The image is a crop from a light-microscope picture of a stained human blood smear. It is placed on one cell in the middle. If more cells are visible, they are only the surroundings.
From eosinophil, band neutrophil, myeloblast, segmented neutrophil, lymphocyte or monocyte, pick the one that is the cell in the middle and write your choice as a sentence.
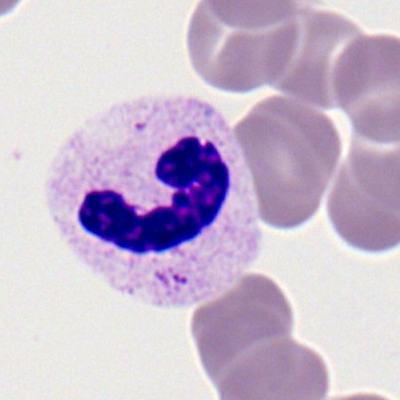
Answering briefly, the cell in the middle is a band neutrophil.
